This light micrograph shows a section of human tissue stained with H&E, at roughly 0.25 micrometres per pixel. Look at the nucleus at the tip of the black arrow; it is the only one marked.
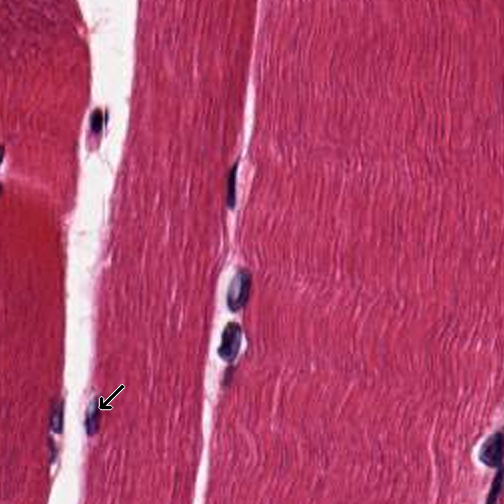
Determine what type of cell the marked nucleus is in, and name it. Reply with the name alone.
skeletal muscle fibre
